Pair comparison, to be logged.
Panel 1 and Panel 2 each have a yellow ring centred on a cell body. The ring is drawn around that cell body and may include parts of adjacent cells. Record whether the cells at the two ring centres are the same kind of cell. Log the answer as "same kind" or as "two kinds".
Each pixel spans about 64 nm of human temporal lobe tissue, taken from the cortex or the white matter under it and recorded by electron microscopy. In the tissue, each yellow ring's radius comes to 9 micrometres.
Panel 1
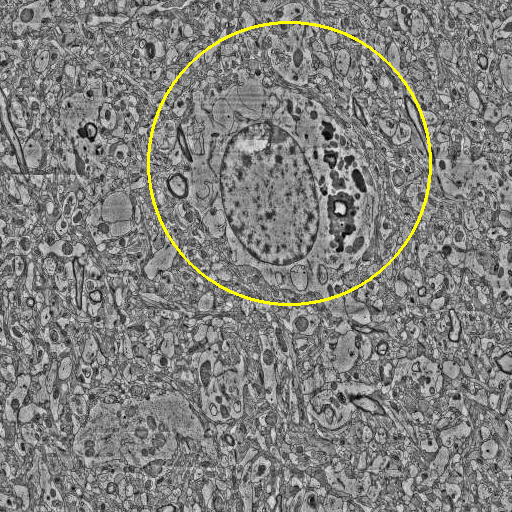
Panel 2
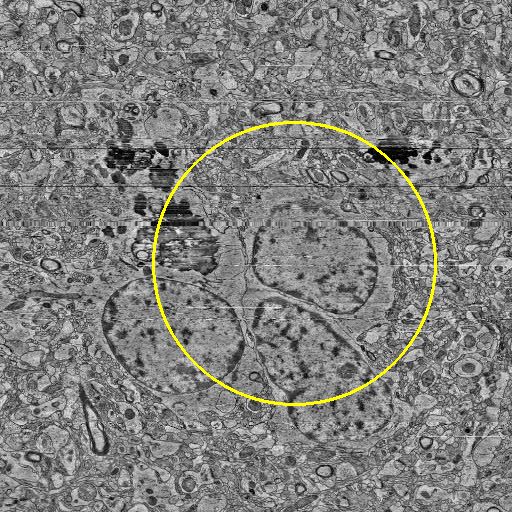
same kind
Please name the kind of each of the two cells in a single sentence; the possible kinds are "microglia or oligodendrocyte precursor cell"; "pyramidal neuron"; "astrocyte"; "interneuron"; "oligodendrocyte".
Both the first and the second picture show an astrocyte in the ring.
